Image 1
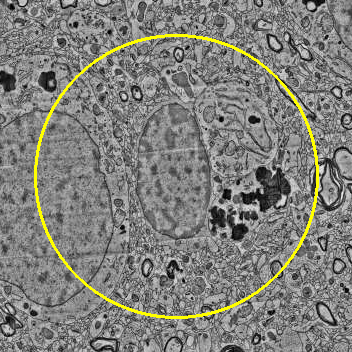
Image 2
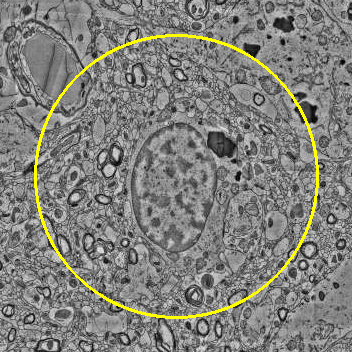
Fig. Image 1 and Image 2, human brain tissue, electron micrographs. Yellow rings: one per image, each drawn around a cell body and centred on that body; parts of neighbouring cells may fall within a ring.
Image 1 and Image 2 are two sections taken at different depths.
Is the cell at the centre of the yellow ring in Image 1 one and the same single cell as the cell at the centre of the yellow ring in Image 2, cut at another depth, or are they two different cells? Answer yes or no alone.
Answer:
no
